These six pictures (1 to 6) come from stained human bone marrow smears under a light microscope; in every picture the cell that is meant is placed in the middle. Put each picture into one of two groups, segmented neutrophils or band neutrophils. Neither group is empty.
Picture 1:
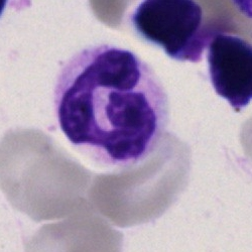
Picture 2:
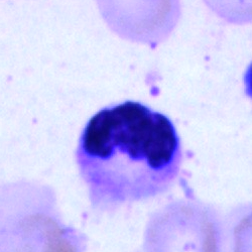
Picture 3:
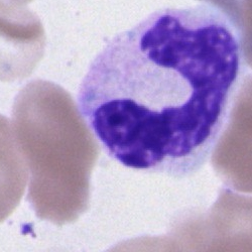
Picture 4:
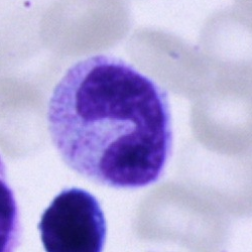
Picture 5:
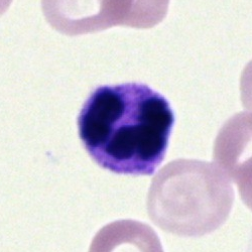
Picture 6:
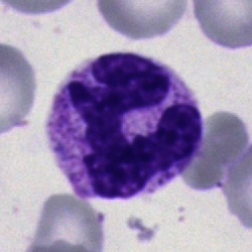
1: segmented neutrophil
2: segmented neutrophil
3: band neutrophil
4: band neutrophil
5: segmented neutrophil
6: segmented neutrophil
